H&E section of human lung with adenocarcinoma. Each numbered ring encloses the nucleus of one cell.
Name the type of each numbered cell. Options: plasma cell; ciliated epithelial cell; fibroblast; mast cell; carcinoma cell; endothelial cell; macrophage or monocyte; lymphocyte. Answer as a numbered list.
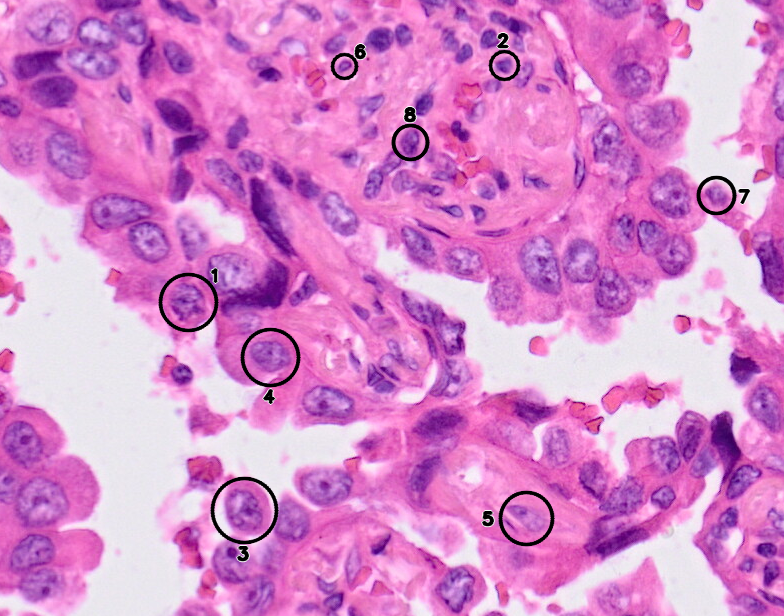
1. carcinoma cell
2. lymphocyte
3. carcinoma cell
4. carcinoma cell
5. fibroblast
6. lymphocyte
7. macrophage or monocyte
8. plasma cell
